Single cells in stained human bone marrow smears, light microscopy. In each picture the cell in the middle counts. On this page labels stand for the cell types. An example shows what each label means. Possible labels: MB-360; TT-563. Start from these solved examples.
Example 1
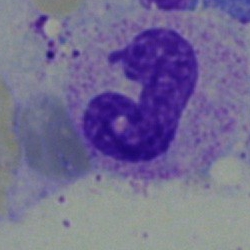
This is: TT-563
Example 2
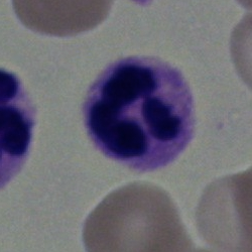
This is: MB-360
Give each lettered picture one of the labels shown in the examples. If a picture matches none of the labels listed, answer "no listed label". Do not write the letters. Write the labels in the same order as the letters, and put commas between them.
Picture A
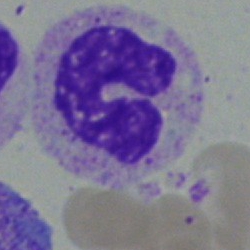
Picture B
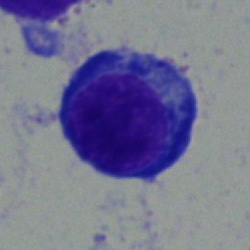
TT-563, no listed label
